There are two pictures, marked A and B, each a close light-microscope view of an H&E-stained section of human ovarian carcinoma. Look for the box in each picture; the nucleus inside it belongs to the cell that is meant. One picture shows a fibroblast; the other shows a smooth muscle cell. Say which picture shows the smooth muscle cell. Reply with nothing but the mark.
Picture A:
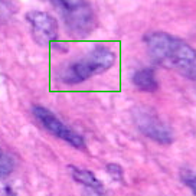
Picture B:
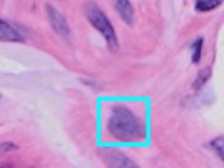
B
